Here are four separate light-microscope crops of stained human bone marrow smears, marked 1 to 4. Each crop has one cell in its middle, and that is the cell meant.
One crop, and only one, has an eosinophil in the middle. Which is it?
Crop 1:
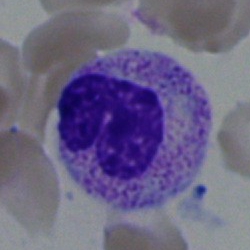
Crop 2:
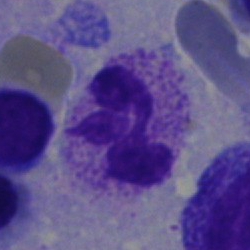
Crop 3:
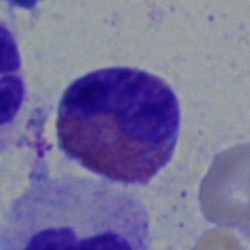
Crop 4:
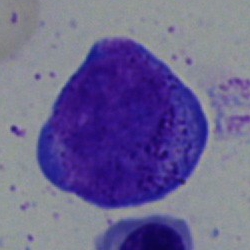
3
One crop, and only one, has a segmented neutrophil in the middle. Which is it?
2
